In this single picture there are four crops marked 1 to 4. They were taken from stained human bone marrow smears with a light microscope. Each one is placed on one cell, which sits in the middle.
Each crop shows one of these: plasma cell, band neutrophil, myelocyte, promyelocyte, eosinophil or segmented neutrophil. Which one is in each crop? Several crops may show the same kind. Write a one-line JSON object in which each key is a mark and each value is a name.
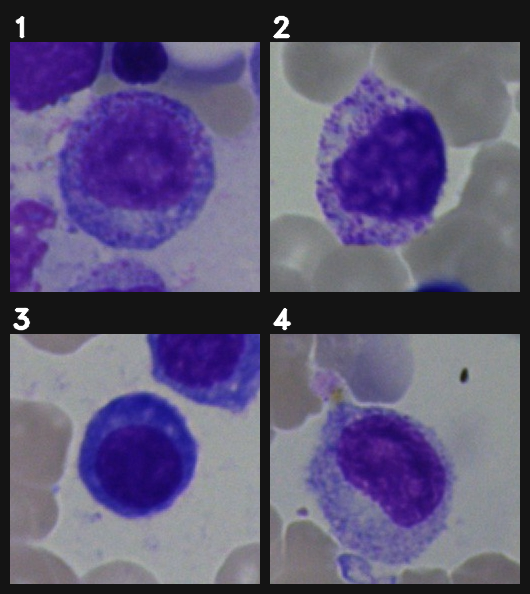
{"1": "promyelocyte", "2": "myelocyte", "3": "plasma cell", "4": "myelocyte"}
